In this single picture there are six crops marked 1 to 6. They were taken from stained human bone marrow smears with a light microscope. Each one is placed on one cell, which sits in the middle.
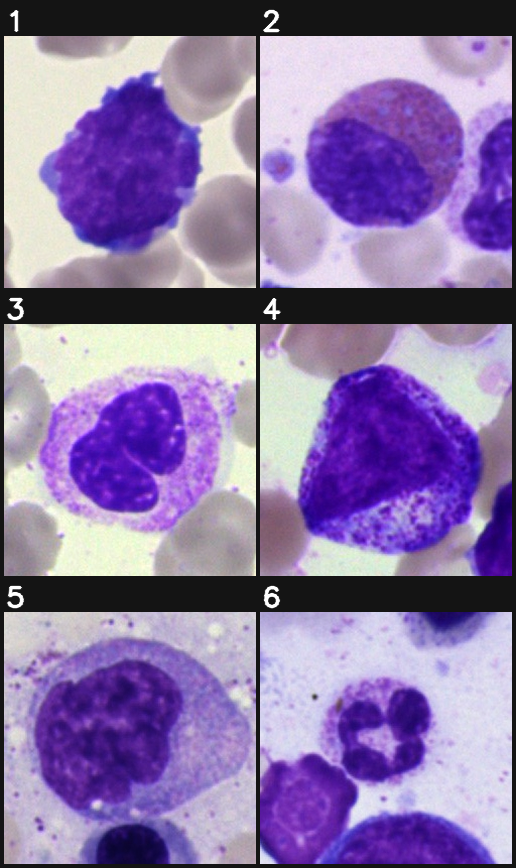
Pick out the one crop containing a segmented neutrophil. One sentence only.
Only in crop 6 is a segmented neutrophil shown.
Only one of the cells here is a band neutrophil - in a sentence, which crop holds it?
Crop 3 matches the request, showing a band neutrophil.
